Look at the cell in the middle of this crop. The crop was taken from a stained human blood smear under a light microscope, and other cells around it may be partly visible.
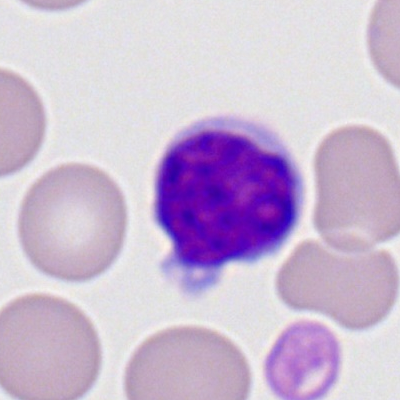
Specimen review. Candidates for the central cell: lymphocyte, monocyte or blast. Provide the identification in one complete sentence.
Of the cells in this crop, the central one is a lymphocyte.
